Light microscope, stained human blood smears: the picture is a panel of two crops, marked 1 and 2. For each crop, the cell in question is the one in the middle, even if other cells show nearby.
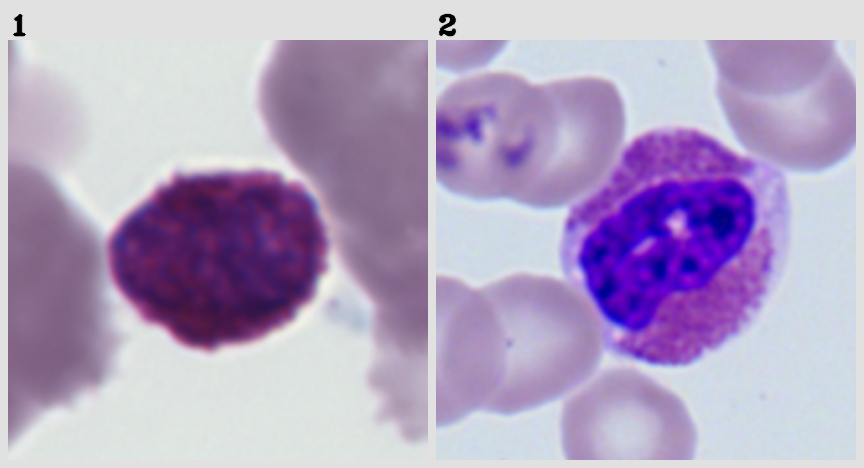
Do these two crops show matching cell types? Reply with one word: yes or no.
yes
